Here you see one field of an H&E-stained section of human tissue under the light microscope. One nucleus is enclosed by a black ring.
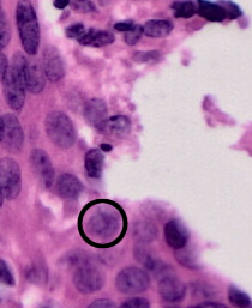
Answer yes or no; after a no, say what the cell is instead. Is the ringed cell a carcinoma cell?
Yes.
